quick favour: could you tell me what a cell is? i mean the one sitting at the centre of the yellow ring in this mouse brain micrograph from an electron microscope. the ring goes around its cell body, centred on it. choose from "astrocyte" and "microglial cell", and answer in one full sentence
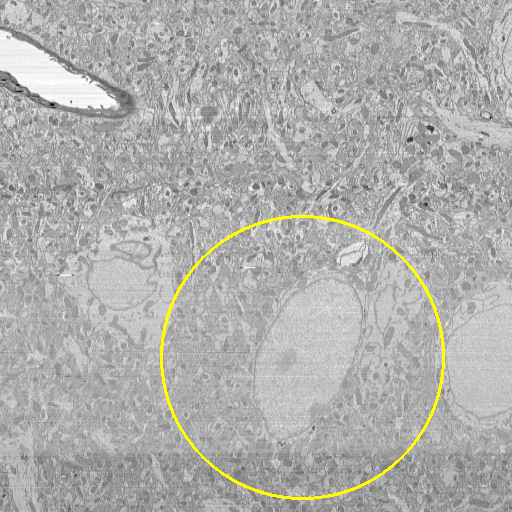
That's an astrocyte, the cell sitting at the centre of the yellow ring.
